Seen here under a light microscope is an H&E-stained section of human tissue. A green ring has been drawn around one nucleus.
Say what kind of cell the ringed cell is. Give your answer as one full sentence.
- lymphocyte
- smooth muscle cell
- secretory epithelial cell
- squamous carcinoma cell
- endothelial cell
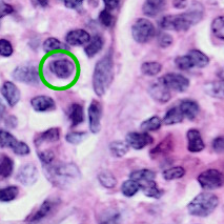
With respect to cell type, the ringed cell is a lymphocyte.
